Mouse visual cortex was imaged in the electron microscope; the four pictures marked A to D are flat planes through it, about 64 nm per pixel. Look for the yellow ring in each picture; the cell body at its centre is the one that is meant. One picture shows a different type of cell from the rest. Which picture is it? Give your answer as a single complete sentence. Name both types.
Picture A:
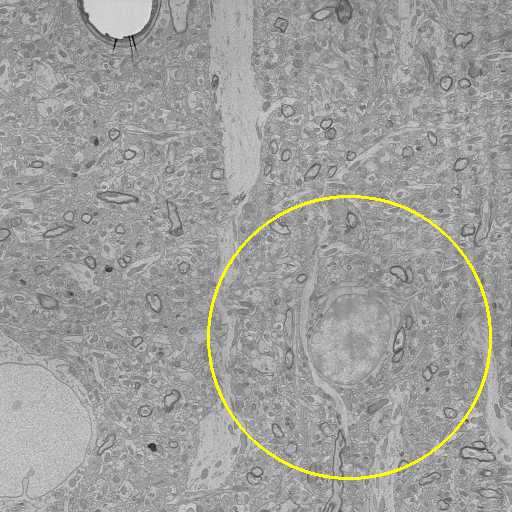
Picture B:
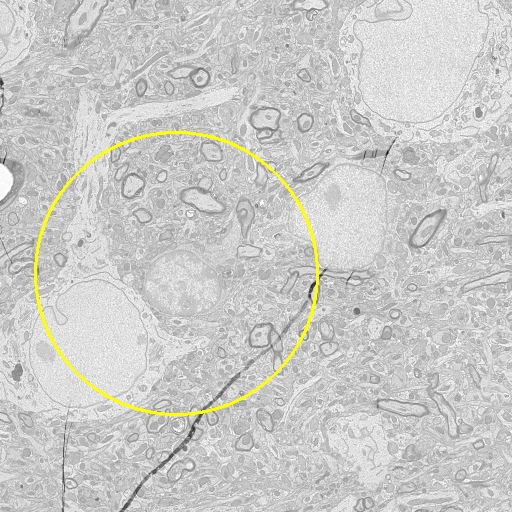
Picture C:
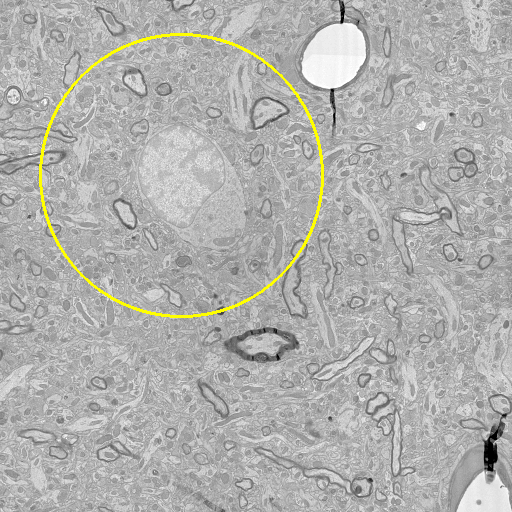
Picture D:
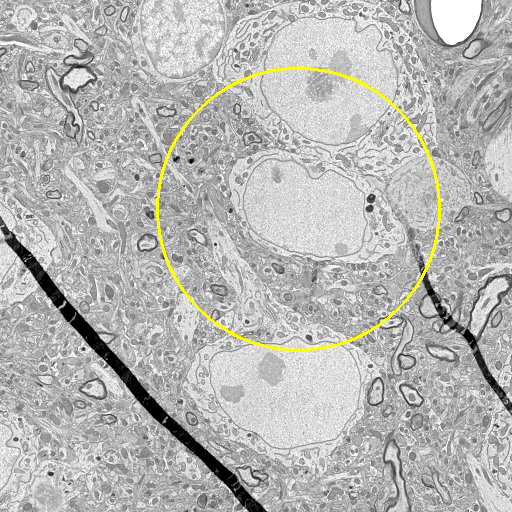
The different one is picture D; it shows an excitatory neuron, whereas all the others show oligodendrocytes.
